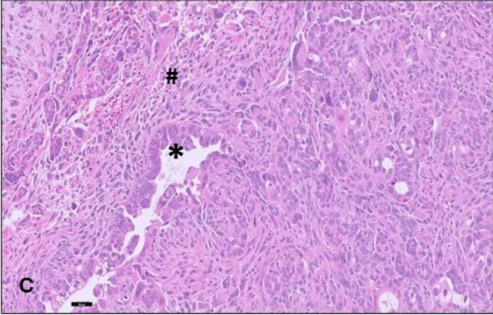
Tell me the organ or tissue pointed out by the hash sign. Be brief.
Sarcomatous component.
